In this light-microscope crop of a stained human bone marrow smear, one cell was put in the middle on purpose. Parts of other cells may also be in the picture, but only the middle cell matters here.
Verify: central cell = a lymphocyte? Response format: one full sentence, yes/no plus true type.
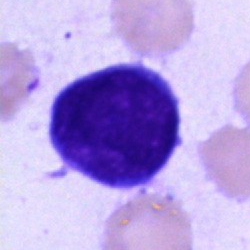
No, the one in the center is not a lymphocyte; it is a blast.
